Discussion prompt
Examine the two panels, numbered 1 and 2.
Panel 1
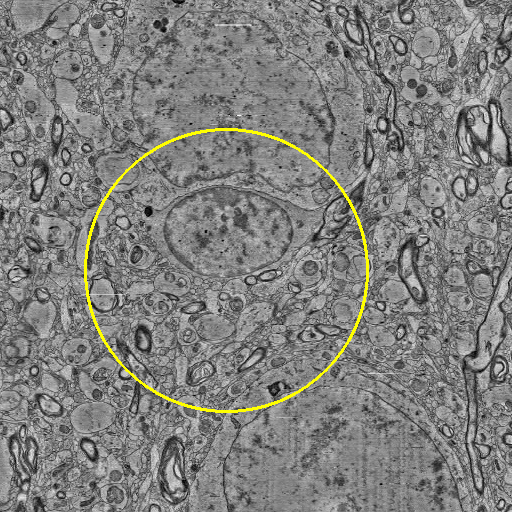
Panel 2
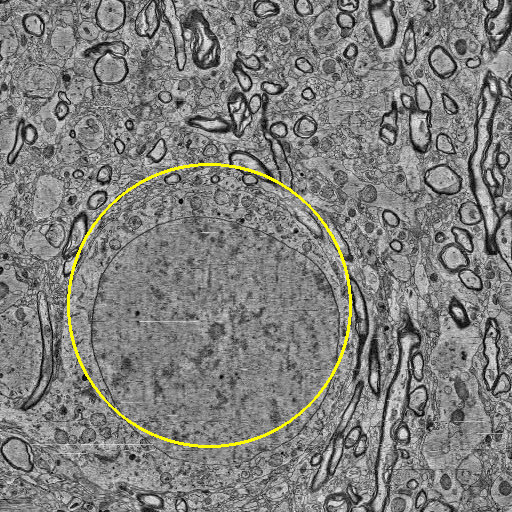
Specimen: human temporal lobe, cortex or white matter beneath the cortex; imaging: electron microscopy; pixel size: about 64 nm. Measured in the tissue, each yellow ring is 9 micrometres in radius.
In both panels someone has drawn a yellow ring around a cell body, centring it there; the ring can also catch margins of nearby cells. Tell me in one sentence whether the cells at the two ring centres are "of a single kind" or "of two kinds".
Taken together, the two cells centred in the rings of Panels 1 and 2 are of two kinds.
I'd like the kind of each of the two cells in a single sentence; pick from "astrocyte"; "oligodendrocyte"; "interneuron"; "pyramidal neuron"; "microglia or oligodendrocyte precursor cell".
The first ring marks an oligodendrocyte, and the second ring marks a pyramidal neuron.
